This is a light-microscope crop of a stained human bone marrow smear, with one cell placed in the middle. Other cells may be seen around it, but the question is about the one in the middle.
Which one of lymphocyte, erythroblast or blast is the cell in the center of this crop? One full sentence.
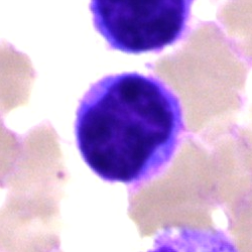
The cell around which this crop is centred is a lymphocyte.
